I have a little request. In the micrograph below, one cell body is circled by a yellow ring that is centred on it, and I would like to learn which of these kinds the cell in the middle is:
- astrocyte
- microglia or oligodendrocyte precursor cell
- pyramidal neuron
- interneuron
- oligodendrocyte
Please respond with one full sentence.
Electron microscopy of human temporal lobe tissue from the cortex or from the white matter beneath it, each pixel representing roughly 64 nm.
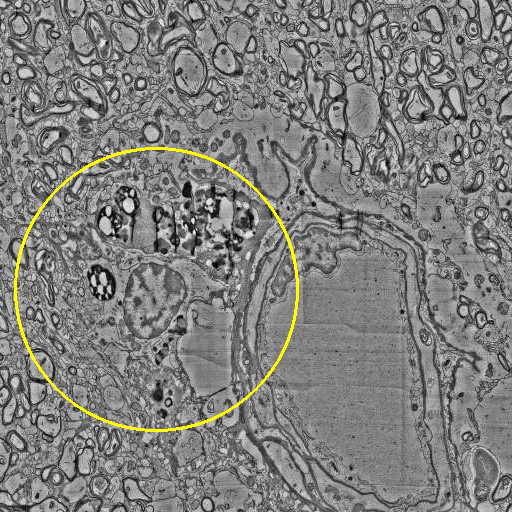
The cell sitting in the middle of the yellow ring in the micrograph is a microglial cell or oligodendrocyte precursor cell.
